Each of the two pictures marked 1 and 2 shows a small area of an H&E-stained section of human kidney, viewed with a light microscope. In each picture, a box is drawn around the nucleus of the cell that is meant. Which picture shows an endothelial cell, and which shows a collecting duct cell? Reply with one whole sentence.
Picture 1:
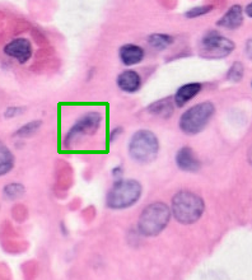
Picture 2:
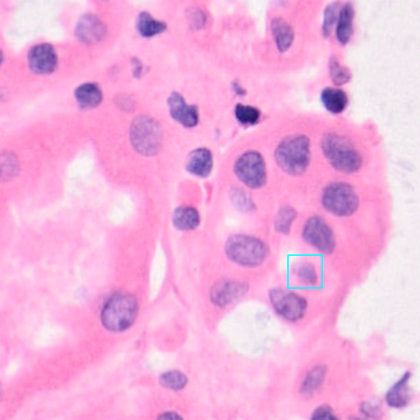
The cell in picture 1 is an endothelial cell, and the one in picture 2 is a collecting duct cell.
